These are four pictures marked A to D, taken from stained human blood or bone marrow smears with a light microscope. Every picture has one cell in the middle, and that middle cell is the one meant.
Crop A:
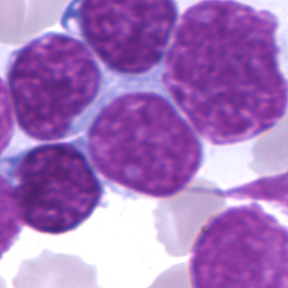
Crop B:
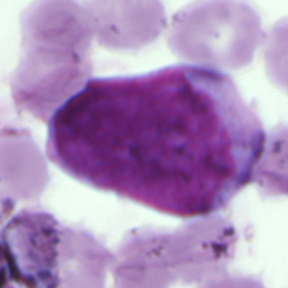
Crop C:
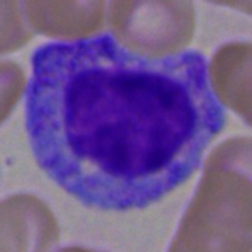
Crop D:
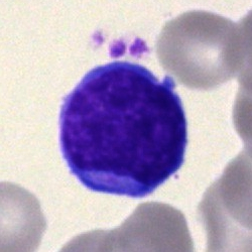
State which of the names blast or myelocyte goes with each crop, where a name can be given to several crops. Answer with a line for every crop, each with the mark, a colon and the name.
A: blast
B: blast
C: myelocyte
D: blast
